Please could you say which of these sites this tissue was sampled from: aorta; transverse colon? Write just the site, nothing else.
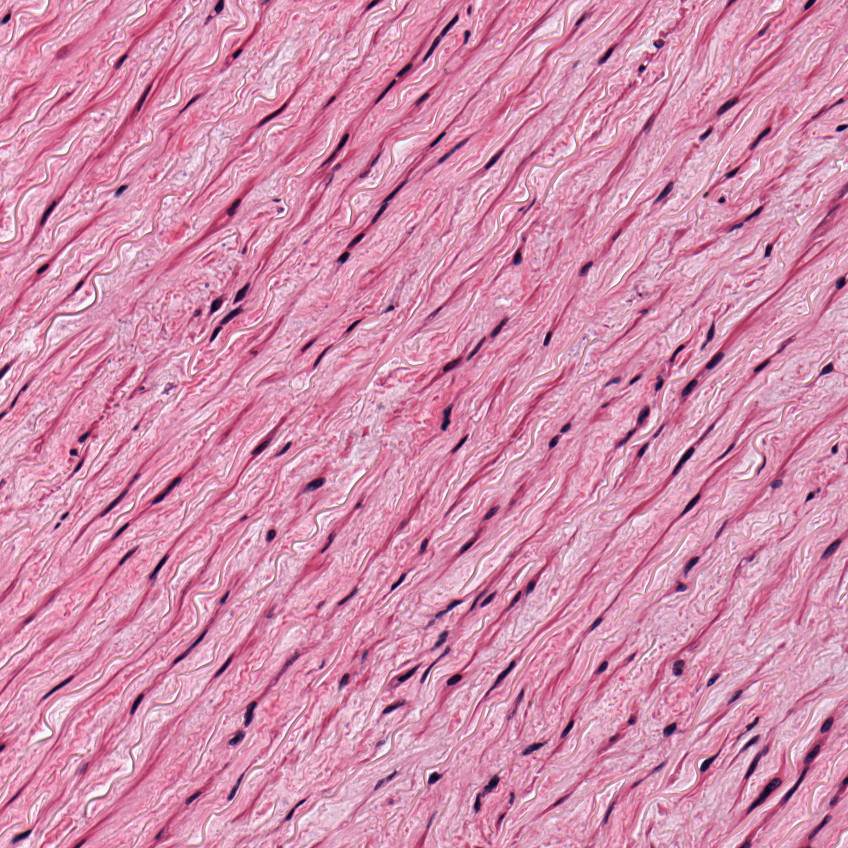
aorta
